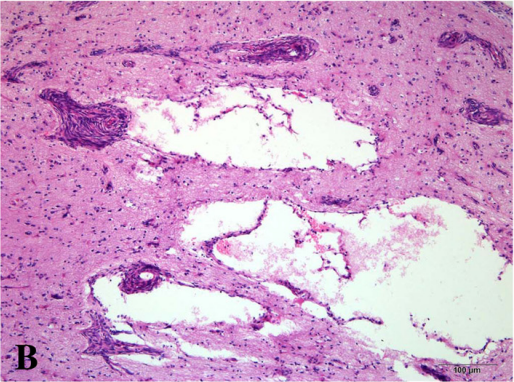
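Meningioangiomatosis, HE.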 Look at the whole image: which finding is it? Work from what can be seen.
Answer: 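Large clear empty spaces lie next to cuffs of spindle cells. Thin strands of tissue line and cross the clear spaces.
Answer: Dilated perivascular spaces and cysts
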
